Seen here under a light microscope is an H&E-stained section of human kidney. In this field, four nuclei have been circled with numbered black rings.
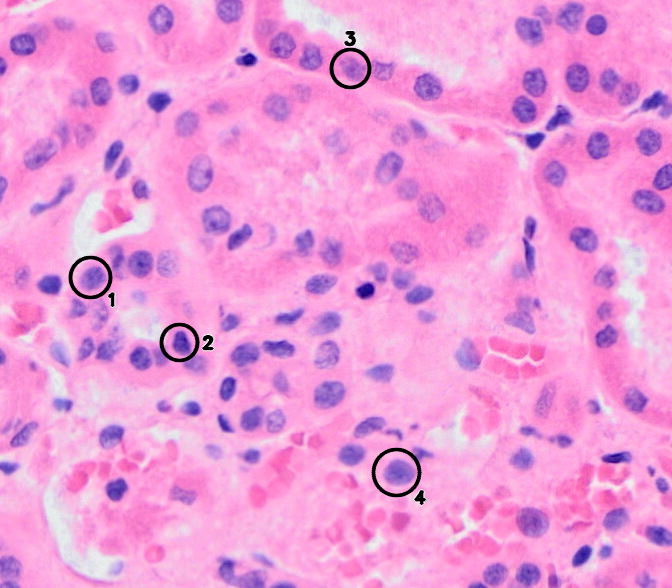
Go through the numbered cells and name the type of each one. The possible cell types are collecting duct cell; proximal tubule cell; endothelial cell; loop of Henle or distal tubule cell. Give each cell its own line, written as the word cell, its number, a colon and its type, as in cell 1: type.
cell 1: collecting duct cell
cell 2: collecting duct cell
cell 3: proximal tubule cell
cell 4: endothelial cell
